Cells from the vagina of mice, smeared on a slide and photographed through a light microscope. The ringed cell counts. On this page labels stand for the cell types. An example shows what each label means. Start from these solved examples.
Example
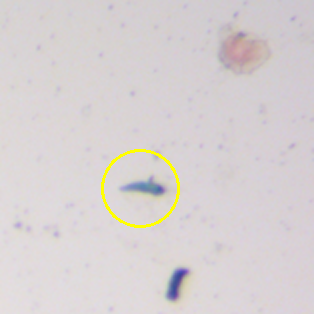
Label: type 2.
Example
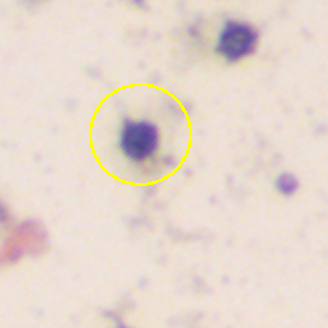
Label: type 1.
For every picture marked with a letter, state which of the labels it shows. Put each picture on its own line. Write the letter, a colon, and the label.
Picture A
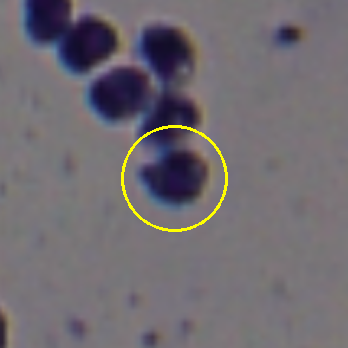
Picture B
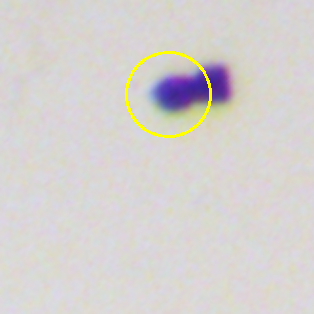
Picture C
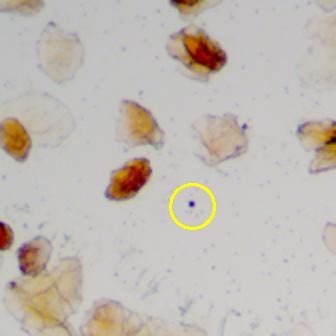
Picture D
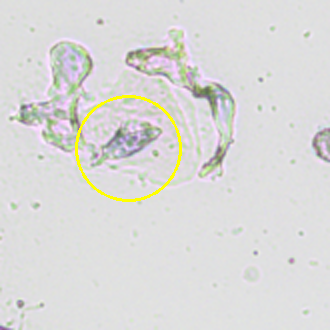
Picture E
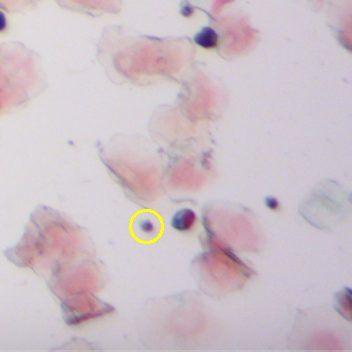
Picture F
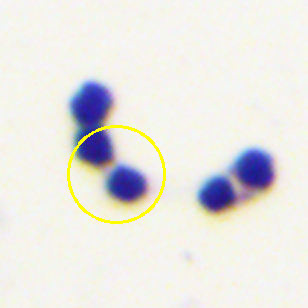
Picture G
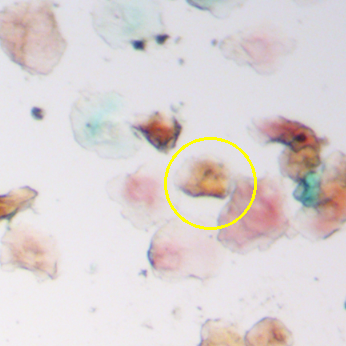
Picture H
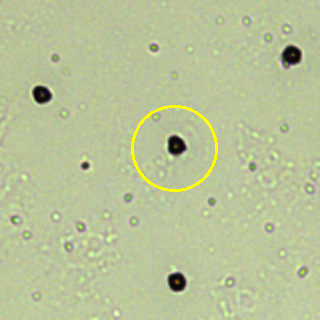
A: type 1.
B: type 1.
C: type 1.
D: type 2.
E: type 1.
F: type 1.
G: type 2.
H: type 1.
